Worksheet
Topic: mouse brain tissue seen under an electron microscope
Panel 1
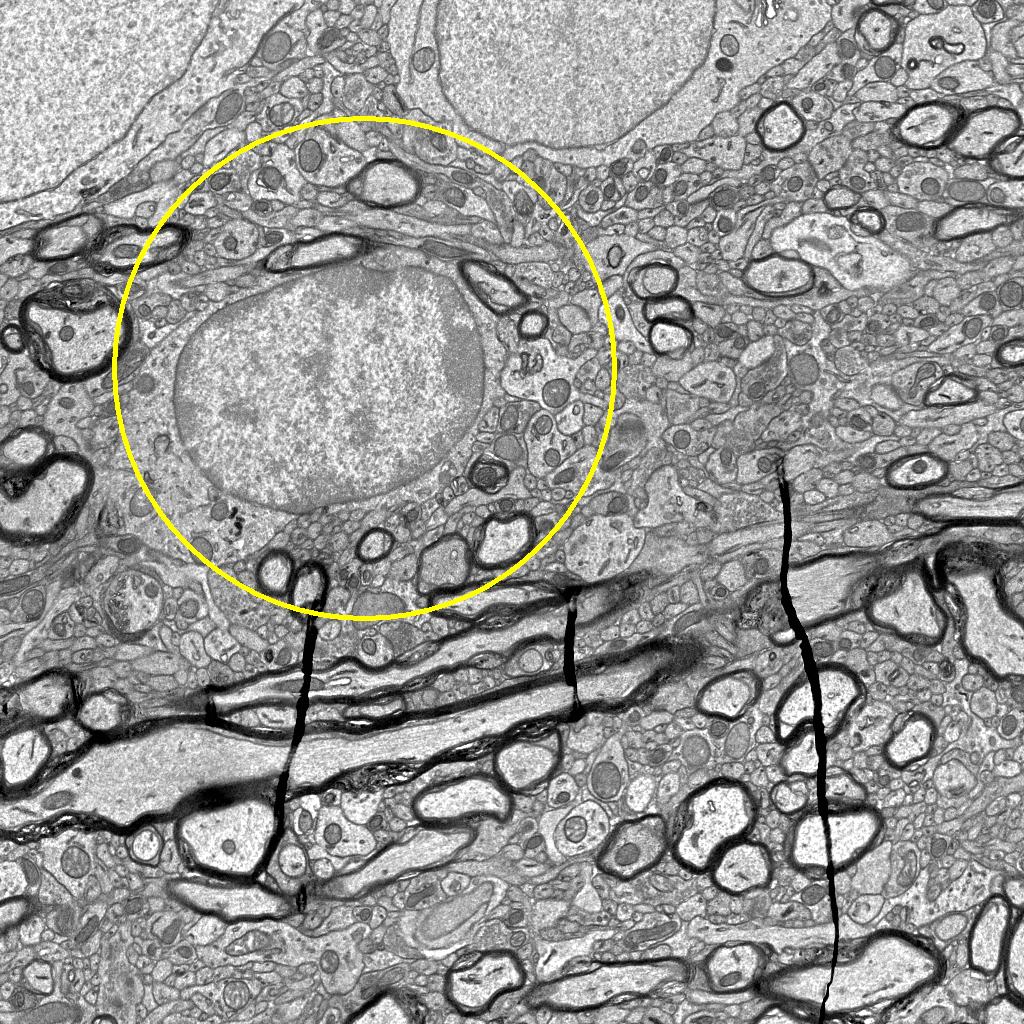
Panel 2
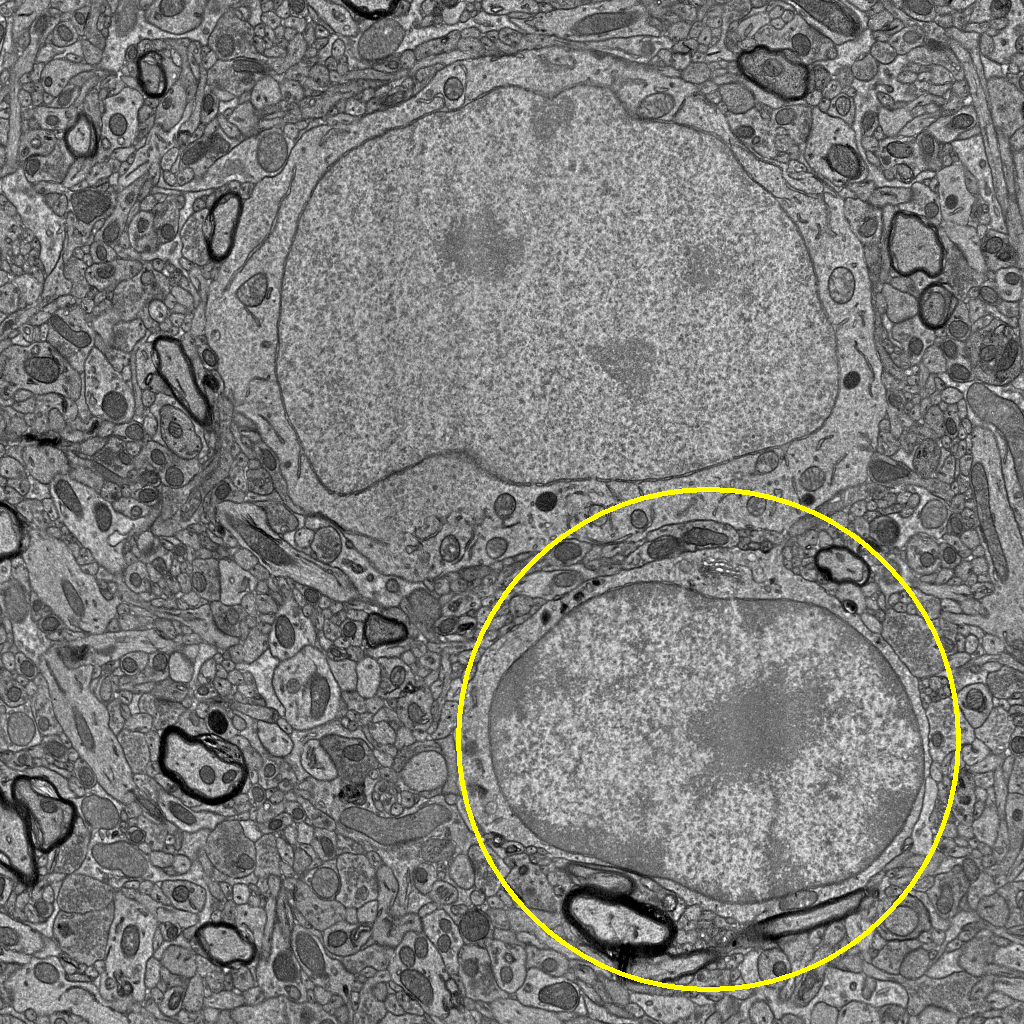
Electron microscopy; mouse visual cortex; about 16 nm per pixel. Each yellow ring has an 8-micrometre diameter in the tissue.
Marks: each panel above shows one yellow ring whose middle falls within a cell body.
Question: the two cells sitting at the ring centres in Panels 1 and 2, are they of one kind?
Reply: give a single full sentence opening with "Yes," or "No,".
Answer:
Yes, the two cells at the ring centres in Panel 1 and Panel 2 are of one kind.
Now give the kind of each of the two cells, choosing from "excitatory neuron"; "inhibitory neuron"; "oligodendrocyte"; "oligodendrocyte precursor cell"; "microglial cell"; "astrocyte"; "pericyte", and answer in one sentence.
The cell at the ring centre is an oligodendrocyte in both pictures.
